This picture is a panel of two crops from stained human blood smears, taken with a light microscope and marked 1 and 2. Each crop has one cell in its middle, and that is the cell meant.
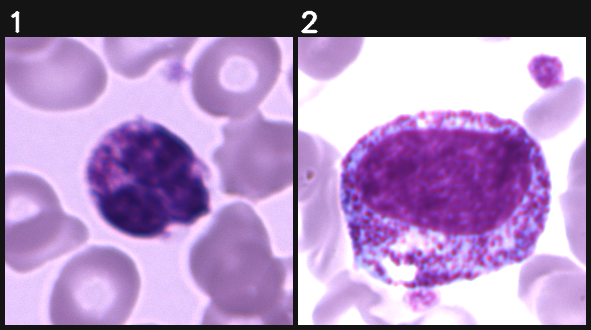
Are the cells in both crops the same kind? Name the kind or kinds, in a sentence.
No, crop 1 matches a basophil and crop 2 matches a promyelocyte.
